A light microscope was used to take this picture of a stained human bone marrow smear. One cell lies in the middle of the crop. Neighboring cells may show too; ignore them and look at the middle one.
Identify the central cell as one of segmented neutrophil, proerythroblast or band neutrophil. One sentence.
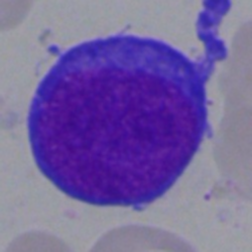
The cell in the middle of this crop is a proerythroblast.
